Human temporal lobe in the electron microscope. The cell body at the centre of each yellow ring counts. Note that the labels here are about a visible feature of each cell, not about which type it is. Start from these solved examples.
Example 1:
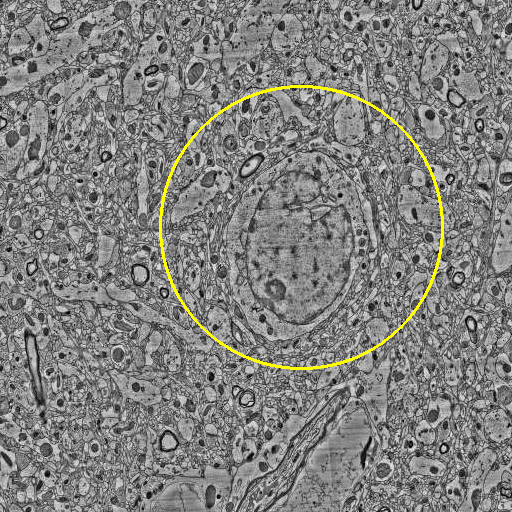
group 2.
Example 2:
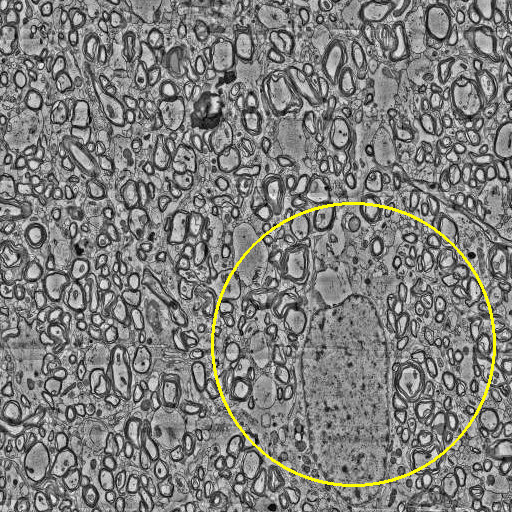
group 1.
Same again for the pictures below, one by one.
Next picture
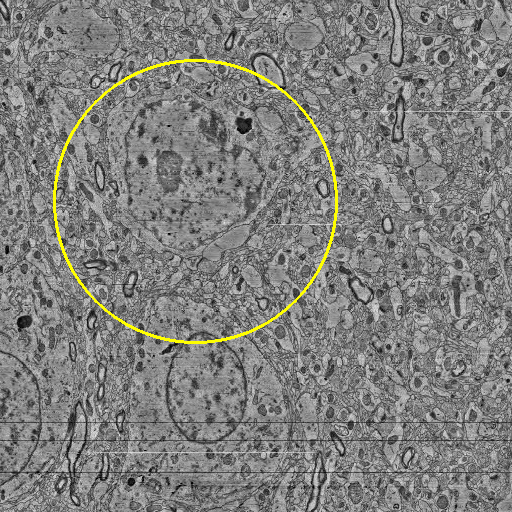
group 2.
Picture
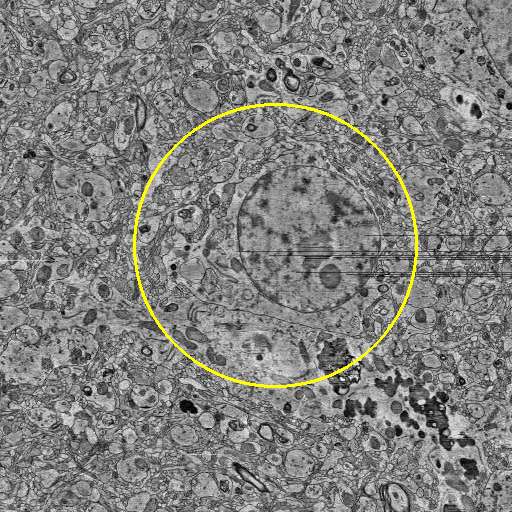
group 2.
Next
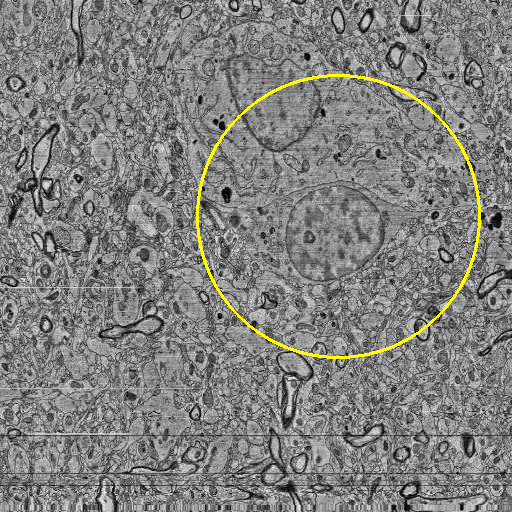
group 2.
